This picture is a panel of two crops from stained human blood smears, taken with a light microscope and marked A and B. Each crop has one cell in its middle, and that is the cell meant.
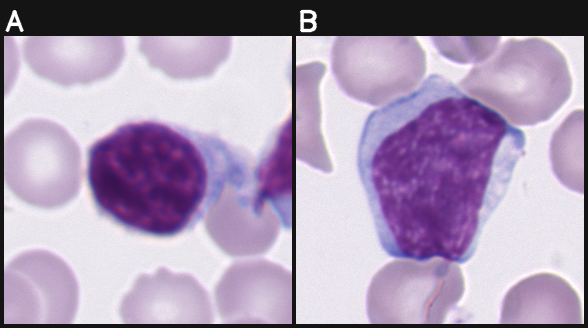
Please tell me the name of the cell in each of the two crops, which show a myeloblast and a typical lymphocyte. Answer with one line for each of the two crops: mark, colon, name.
A: typical lymphocyte
B: myeloblast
